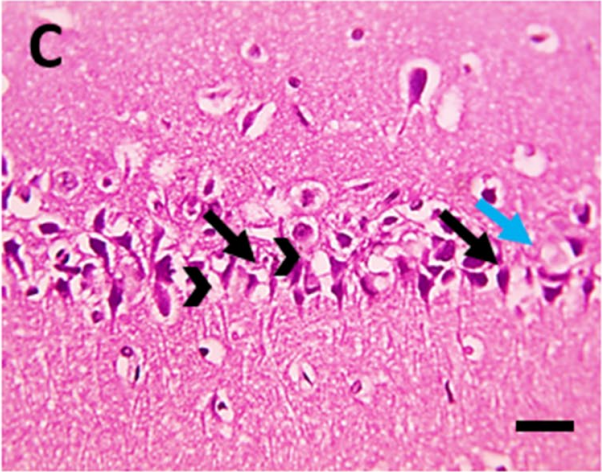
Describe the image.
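This is the pyramidal cell layer of the hippocampus, where many neurons look shrunken, angular and very darkly stained. Numerous cell bodies sit within clear, empty spaces, giving the band a vacuolated, loosened look, and a few cells appear pale and ill-defined.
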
